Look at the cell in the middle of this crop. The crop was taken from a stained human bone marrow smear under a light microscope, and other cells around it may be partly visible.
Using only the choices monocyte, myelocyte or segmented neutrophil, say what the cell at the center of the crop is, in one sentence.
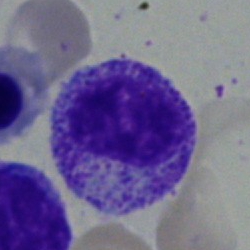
This crop has a myelocyte at its centre.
